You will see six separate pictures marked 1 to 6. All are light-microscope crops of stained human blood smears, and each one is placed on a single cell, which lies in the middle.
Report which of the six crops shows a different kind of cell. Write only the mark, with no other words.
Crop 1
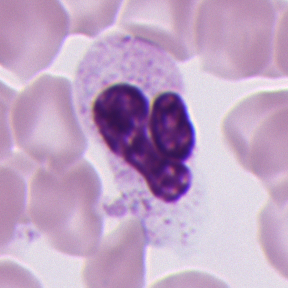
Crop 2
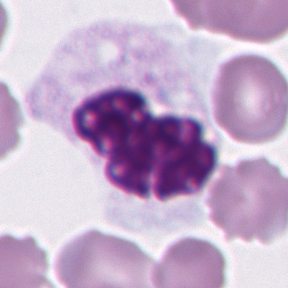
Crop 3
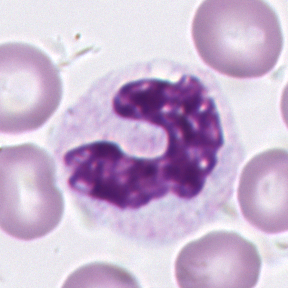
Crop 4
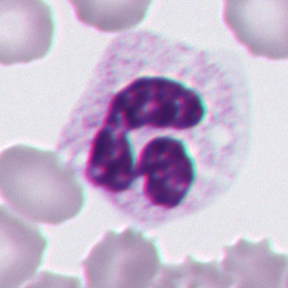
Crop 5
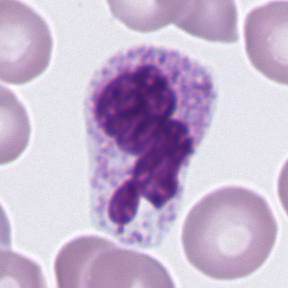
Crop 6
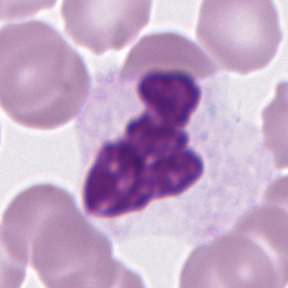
3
